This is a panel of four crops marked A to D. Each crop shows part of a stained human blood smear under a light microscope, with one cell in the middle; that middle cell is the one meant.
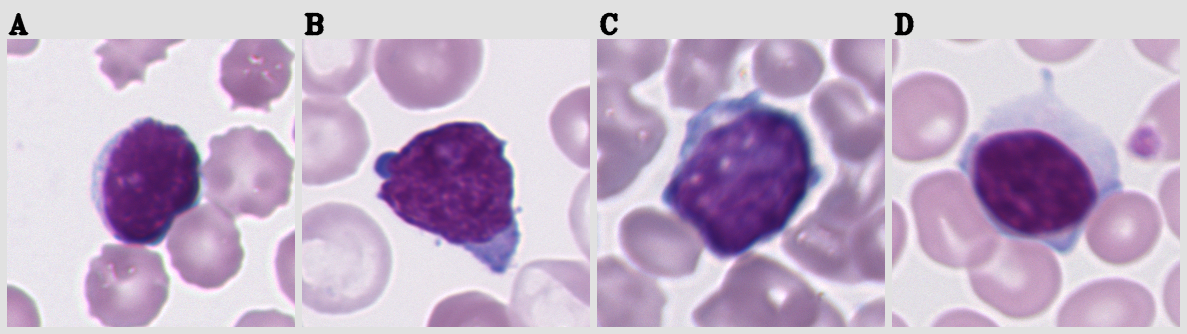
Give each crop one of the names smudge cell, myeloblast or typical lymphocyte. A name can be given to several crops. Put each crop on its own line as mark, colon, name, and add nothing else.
A: typical lymphocyte
B: myeloblast
C: myeloblast
D: typical lymphocyte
